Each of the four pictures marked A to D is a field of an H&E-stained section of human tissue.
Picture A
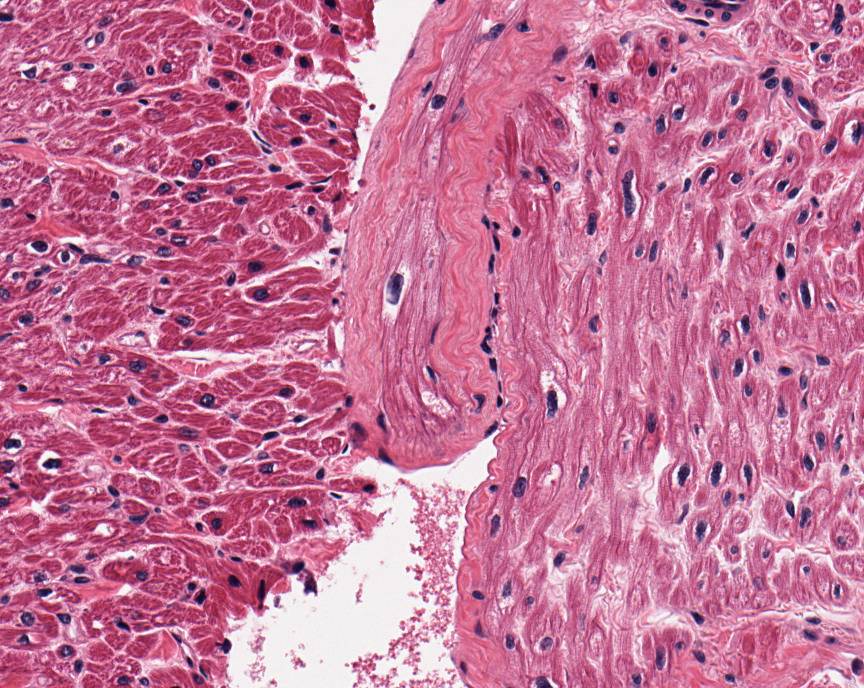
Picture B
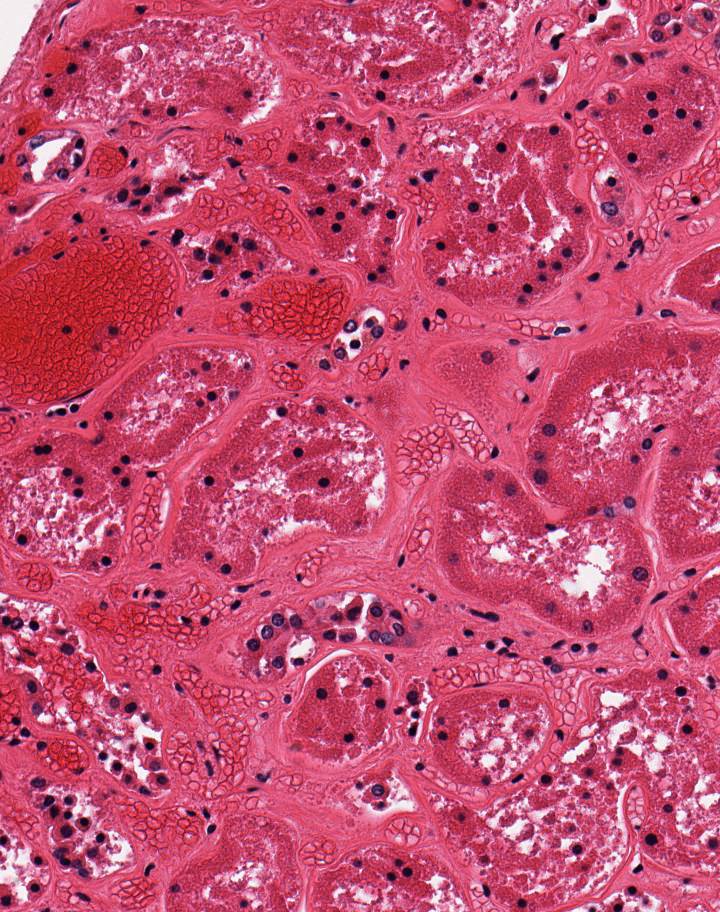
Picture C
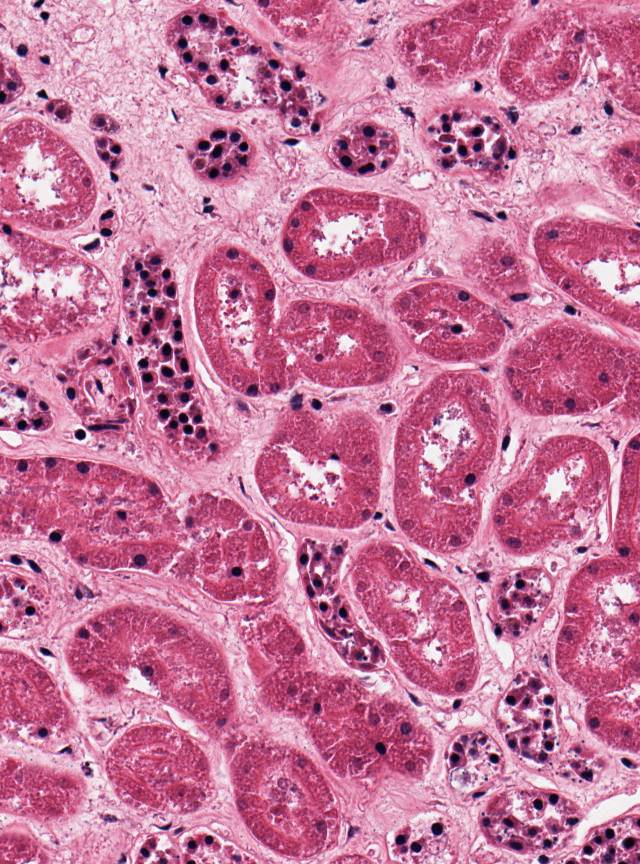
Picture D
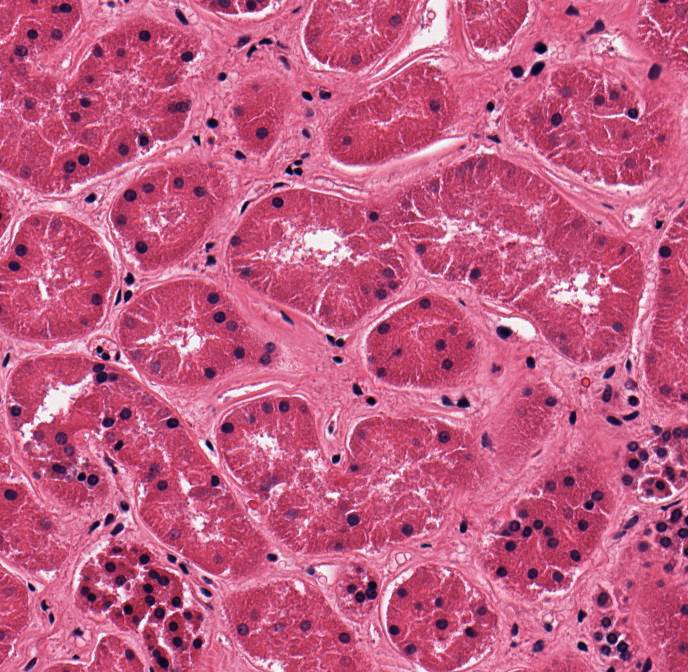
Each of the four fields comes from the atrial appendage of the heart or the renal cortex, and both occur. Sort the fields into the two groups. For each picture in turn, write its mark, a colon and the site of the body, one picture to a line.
A: atrial appendage of the heart
B: renal cortex
C: renal cortex
D: renal cortex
